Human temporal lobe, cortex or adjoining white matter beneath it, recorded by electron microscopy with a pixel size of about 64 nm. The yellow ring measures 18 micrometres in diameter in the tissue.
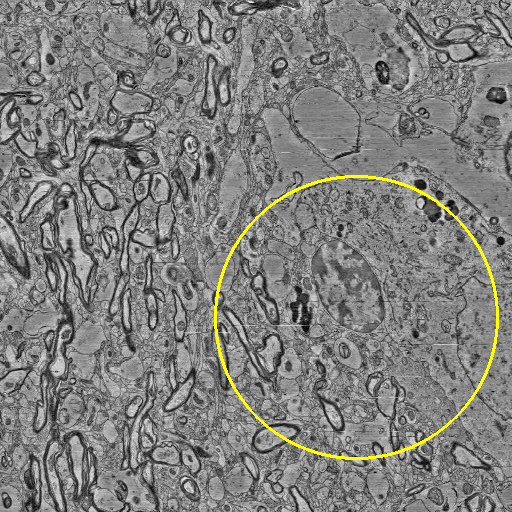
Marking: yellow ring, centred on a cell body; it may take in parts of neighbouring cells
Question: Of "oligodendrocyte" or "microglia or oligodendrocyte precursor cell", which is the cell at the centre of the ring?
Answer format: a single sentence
The ring surrounds the body of a microglial cell or oligodendrocyte precursor cell.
